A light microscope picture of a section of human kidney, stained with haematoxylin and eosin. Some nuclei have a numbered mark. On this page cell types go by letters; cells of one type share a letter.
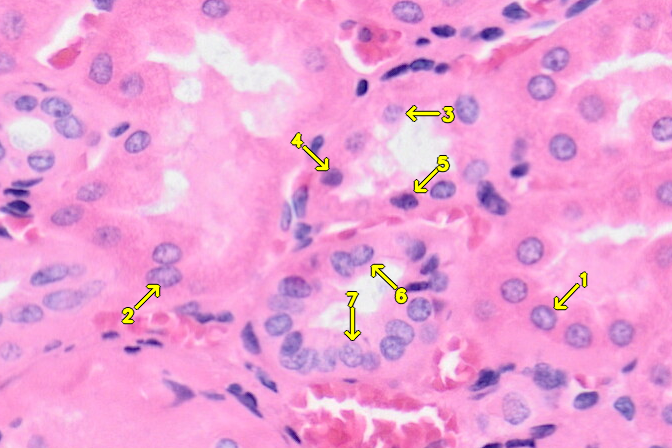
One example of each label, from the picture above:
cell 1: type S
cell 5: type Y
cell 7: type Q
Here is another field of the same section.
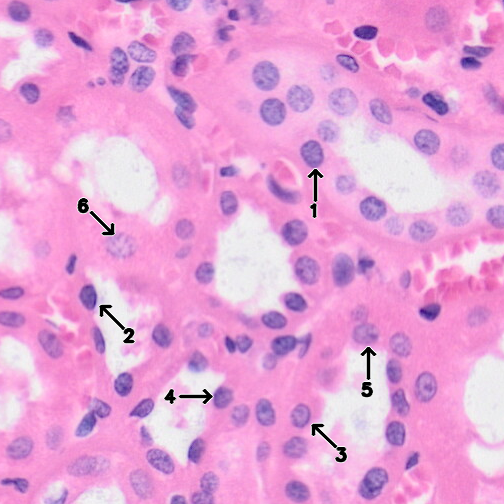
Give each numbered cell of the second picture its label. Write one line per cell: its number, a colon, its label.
1: type Q
2: type Y
3: type Y
4: type Y
5: type Y
6: type S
